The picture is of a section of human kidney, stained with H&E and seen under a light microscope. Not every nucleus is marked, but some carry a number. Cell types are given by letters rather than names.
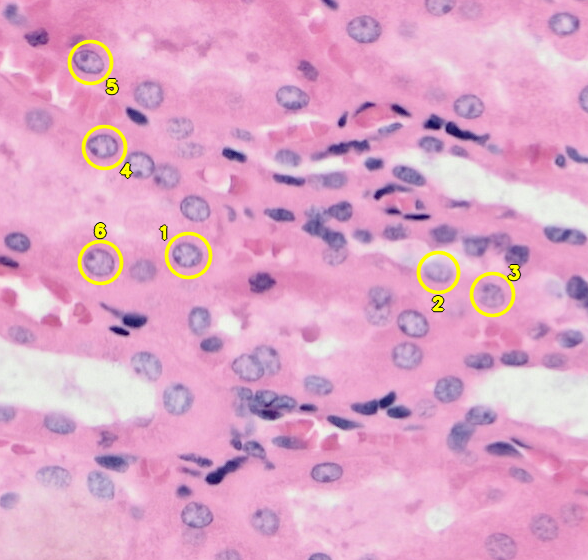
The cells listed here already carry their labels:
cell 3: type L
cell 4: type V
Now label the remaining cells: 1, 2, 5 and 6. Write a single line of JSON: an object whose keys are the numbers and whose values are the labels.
{"1": "type V", "2": "type L", "5": "type V", "6": "type V"}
